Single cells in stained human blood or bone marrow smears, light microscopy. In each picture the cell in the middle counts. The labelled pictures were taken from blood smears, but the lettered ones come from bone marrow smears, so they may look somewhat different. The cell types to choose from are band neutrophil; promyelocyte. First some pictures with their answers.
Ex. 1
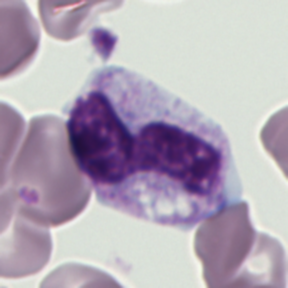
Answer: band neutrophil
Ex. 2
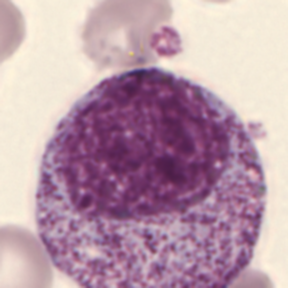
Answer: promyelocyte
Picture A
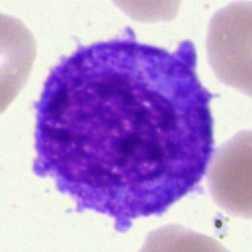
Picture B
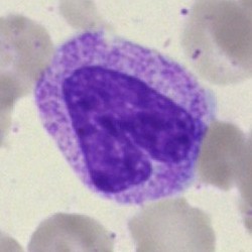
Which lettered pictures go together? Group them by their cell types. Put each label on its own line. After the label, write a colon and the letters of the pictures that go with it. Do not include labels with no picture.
band neutrophil: B
promyelocyte: A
